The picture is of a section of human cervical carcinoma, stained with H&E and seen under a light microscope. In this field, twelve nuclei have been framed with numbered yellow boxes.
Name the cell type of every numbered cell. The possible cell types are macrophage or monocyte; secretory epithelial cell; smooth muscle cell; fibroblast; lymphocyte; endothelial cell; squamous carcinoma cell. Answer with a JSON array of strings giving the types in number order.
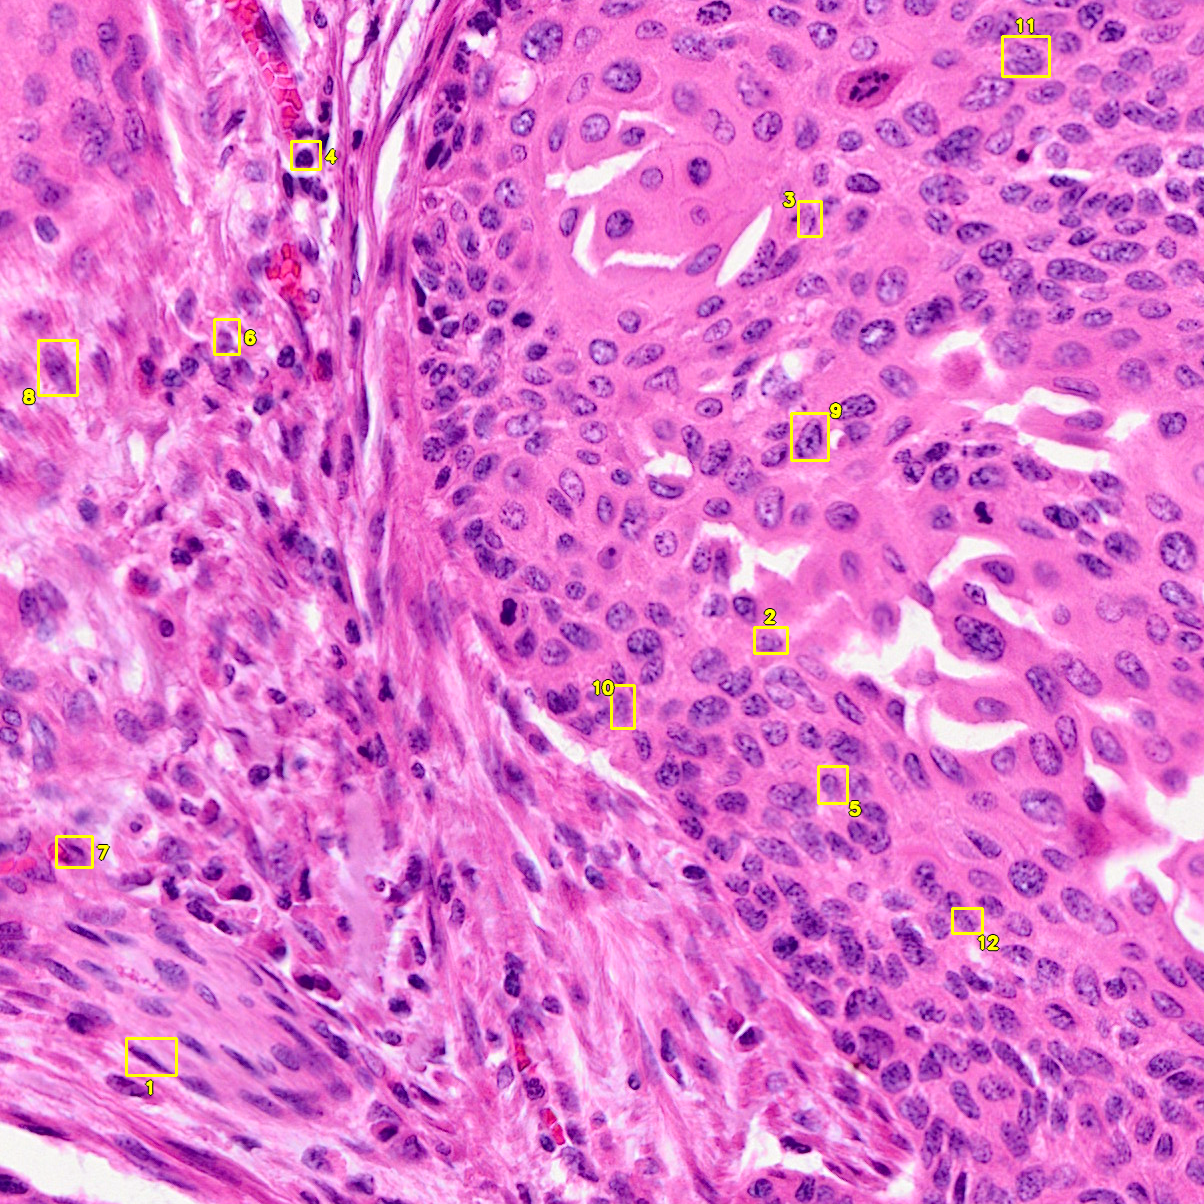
["fibroblast", "squamous carcinoma cell", "squamous carcinoma cell", "lymphocyte", "squamous carcinoma cell", "fibroblast", "endothelial cell", "fibroblast", "squamous carcinoma cell", "squamous carcinoma cell", "squamous carcinoma cell", "squamous carcinoma cell"]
